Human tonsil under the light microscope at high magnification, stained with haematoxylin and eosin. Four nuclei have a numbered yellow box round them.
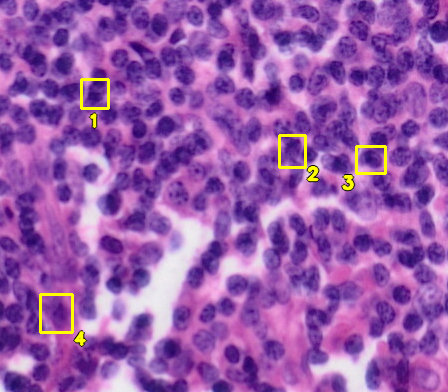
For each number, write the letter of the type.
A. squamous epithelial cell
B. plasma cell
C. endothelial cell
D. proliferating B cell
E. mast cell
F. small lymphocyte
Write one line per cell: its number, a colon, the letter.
1: F
2: F
3: F
4: C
